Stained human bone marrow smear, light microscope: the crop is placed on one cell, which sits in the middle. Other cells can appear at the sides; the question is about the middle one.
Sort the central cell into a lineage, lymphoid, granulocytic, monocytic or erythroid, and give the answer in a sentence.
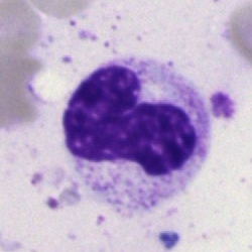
Lineage field for the centered cell should read granulocytic.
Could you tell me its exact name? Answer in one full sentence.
This crop has a band neutrophil at its centre.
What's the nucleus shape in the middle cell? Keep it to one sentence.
The nucleus holds together as a single compact mass, round, oval or kidney-like.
